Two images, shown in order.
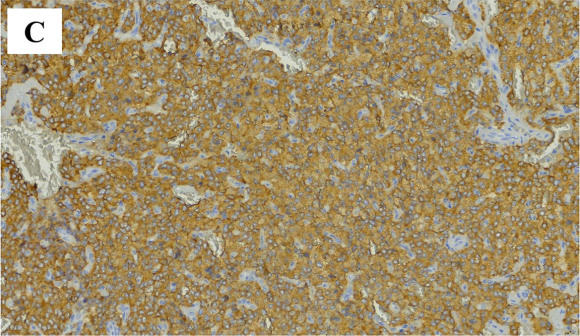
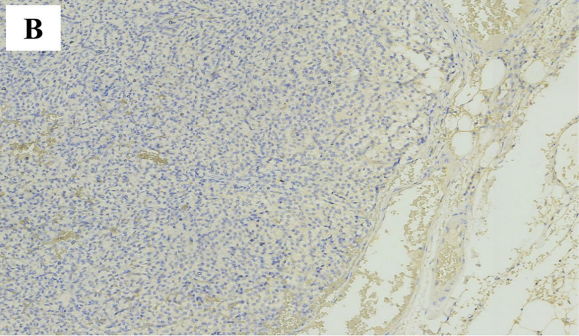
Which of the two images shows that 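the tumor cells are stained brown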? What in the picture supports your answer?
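Second image: the tumor cells show only blue nuclei on a pale background, without brown colour. First image: the cytoplasm of nearly all tumor cells is stained diffusely brown, with blue stroma between them. That points to this answer: the first image.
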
